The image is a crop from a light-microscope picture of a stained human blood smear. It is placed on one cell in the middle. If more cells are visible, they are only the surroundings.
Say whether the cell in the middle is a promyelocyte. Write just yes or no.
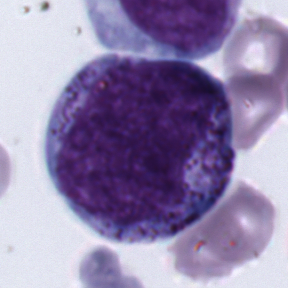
yes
